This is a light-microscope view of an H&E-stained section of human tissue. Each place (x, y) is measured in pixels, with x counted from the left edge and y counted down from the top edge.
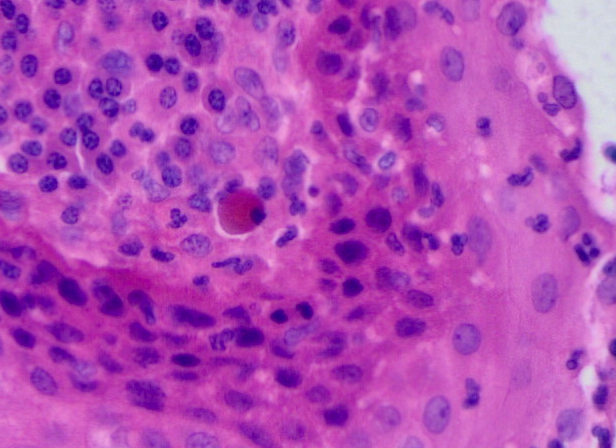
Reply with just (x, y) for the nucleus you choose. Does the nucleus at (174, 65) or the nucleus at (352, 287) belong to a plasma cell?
(174, 65)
